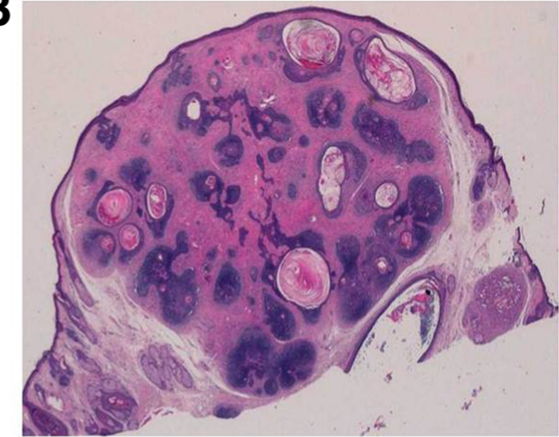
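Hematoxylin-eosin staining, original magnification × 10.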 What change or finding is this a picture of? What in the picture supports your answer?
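A dome-shaped skin lesion with a thin epidermis over the top. The dermis is filled with many dark purple epithelial islands set in pink stroma. Several round cysts filled with pink laminated material lie among the islands. That points to this answer: trichoepithelioma.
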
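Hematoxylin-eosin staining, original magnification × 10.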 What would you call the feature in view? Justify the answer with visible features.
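Numerous rounded and irregular dark purple nests of tightly packed cells. The nests are separated by pale pink stroma. So: islands of basaloid cells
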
